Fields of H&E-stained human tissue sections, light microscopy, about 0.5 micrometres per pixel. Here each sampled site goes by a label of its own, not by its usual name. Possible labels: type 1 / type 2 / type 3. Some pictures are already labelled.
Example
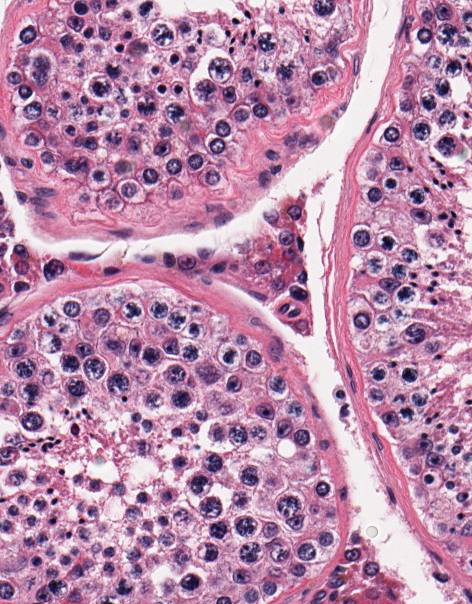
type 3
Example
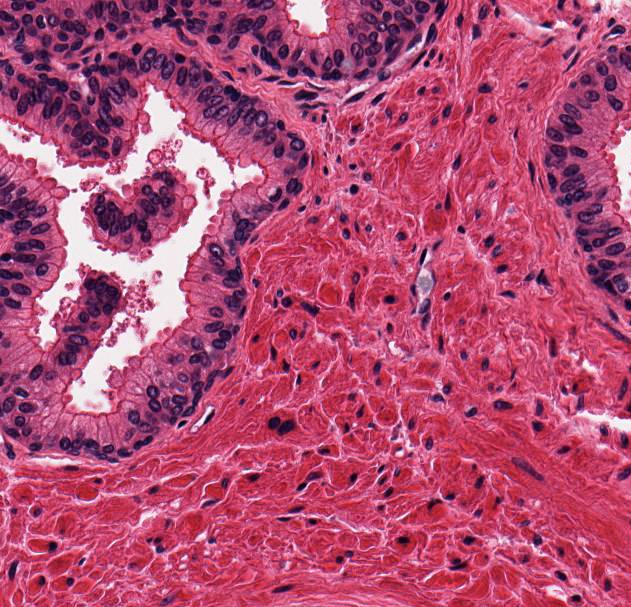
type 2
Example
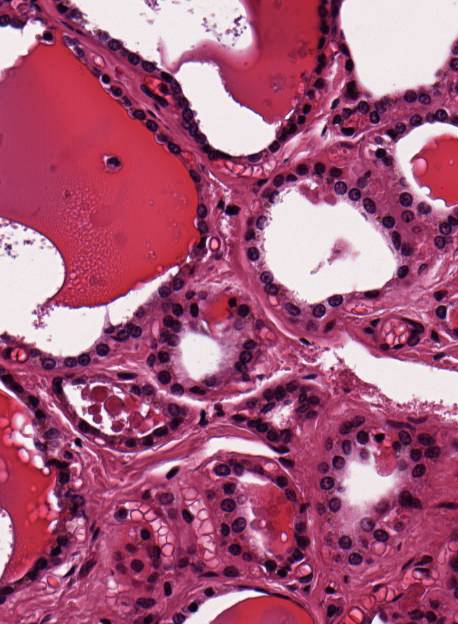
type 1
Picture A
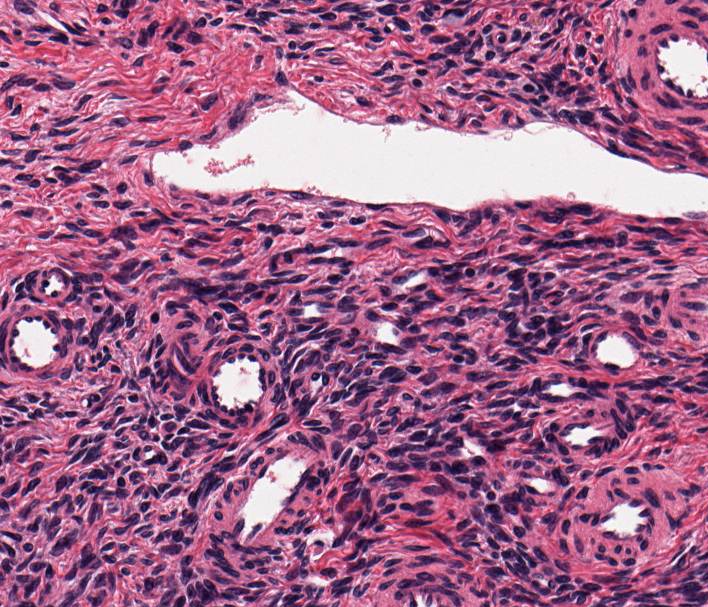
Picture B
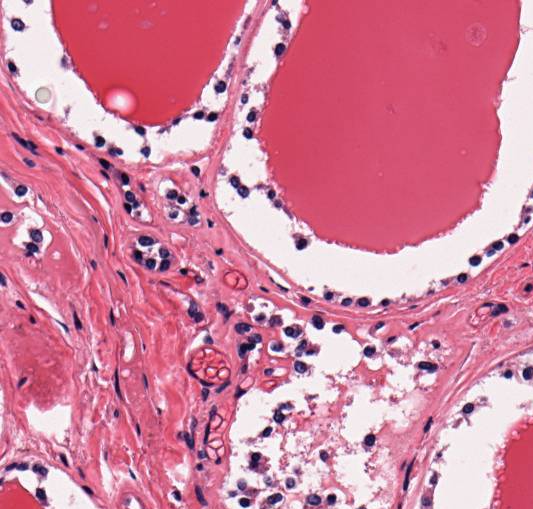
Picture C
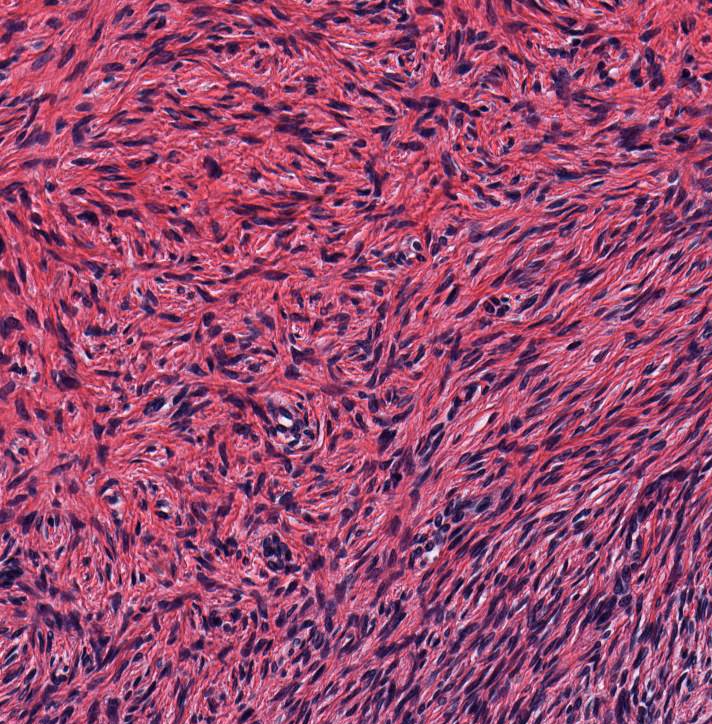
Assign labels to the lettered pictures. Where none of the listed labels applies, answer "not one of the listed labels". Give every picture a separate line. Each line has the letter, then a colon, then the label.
A: not one of the listed labels
B: type 1
C: not one of the listed labels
